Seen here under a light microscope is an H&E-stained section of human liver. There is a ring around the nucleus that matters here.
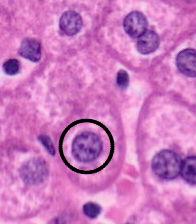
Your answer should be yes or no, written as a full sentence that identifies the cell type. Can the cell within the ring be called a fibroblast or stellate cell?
No, not a fibroblast or stellate cell: the cell within the ring is a hepatocyte.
